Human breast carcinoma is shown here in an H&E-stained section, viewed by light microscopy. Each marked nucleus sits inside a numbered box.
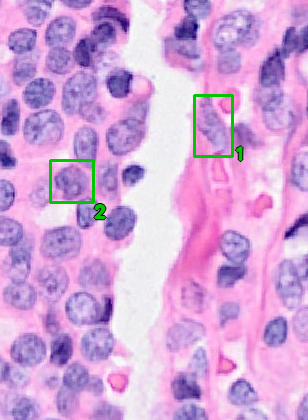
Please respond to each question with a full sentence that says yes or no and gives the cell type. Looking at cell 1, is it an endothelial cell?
Yes, and to answer plainly, cell 1 is an endothelial cell.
